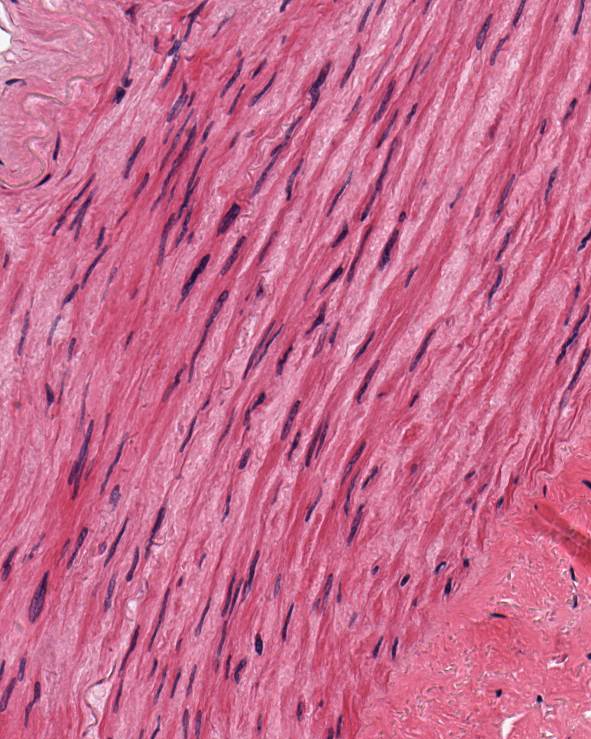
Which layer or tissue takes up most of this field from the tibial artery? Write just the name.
tunica media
